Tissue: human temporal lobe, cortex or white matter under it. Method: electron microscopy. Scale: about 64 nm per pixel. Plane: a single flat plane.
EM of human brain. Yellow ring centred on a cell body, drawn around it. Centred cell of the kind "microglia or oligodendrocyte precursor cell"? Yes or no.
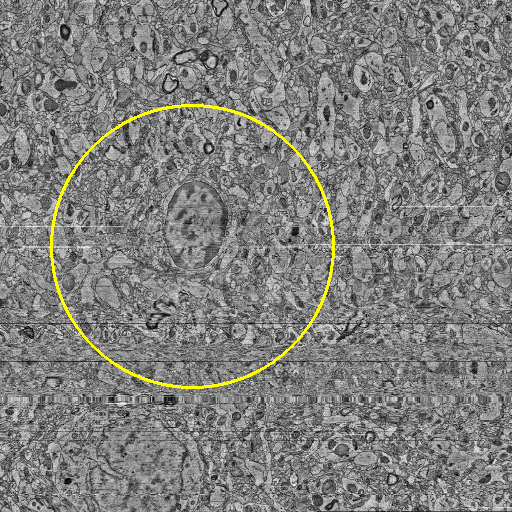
yes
